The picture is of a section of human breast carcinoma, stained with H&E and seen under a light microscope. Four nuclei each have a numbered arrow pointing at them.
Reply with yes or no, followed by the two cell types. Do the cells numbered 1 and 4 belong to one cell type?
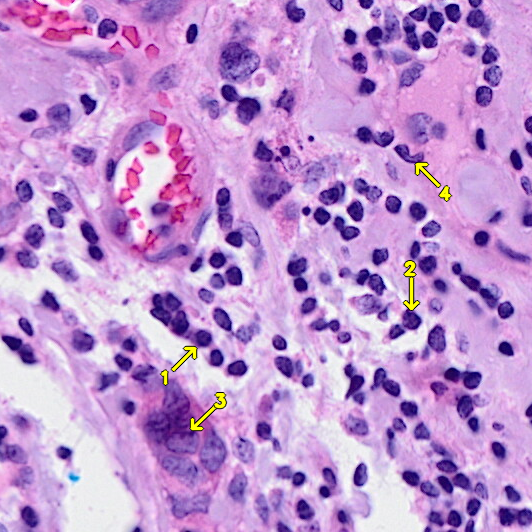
Yes, lymphocytes are what cells 1 and 4 both are.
